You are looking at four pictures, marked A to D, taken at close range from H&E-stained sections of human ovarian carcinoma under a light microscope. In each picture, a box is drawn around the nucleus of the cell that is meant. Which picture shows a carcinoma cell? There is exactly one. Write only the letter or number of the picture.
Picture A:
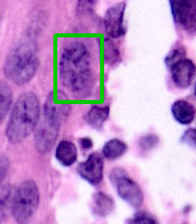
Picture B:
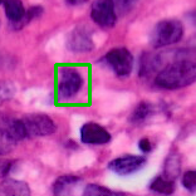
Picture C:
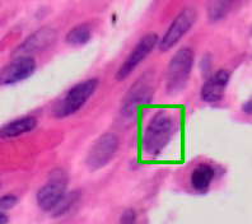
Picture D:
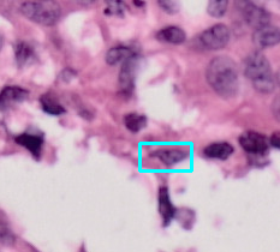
A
